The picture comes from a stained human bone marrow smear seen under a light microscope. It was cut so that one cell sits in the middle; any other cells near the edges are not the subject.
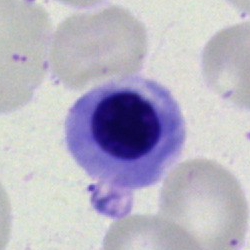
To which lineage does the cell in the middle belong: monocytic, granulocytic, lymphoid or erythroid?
erythroid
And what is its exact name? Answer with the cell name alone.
erythroblast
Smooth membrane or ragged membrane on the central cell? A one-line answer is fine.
Smooth outline, no projections: that is the whole story of its edge.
